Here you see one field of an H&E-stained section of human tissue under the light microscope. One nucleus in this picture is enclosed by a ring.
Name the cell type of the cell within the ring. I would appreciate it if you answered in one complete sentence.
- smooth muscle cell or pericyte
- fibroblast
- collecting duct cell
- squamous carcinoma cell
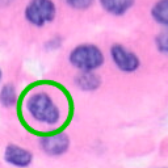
At the level of cell identity, the cell within the ring is a collecting duct cell.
